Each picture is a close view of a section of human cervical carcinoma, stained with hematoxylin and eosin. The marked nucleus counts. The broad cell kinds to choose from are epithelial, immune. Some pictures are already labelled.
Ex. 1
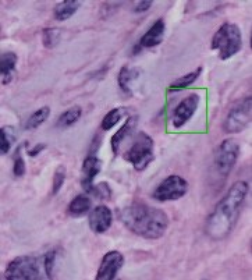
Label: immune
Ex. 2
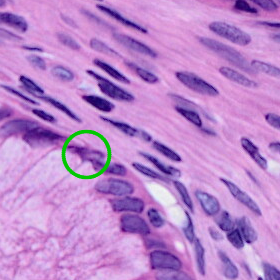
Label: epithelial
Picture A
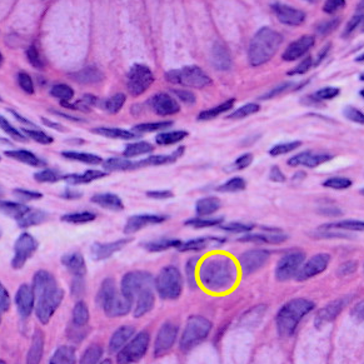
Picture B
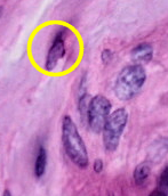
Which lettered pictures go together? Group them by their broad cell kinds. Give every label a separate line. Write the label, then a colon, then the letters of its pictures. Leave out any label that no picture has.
epithelial: A
immune: B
